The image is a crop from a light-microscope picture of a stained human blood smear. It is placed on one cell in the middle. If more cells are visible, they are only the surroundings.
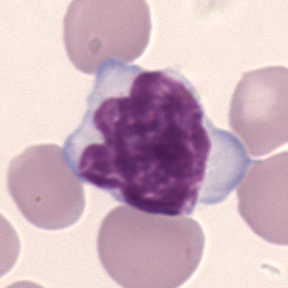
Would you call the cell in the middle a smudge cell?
no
